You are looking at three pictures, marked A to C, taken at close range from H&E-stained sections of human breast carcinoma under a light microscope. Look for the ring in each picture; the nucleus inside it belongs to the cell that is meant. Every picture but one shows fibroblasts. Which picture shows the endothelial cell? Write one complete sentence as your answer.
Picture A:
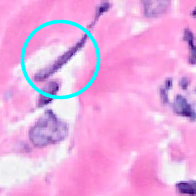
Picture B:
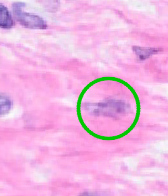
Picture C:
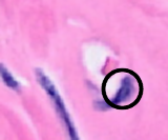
It is picture C that shows the endothelial cell.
